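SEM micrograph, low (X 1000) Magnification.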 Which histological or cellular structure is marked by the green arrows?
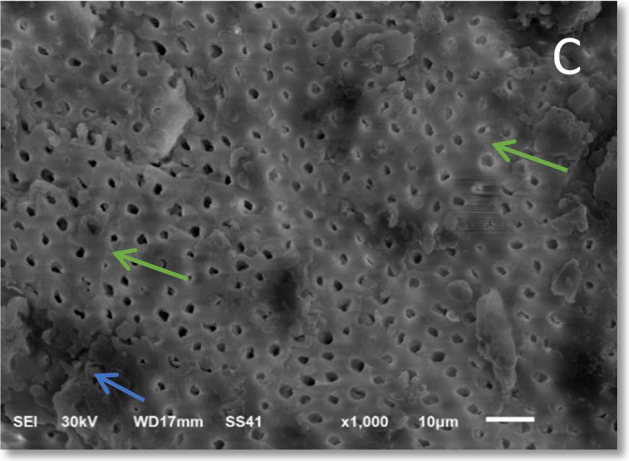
Patent dentinal tubules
